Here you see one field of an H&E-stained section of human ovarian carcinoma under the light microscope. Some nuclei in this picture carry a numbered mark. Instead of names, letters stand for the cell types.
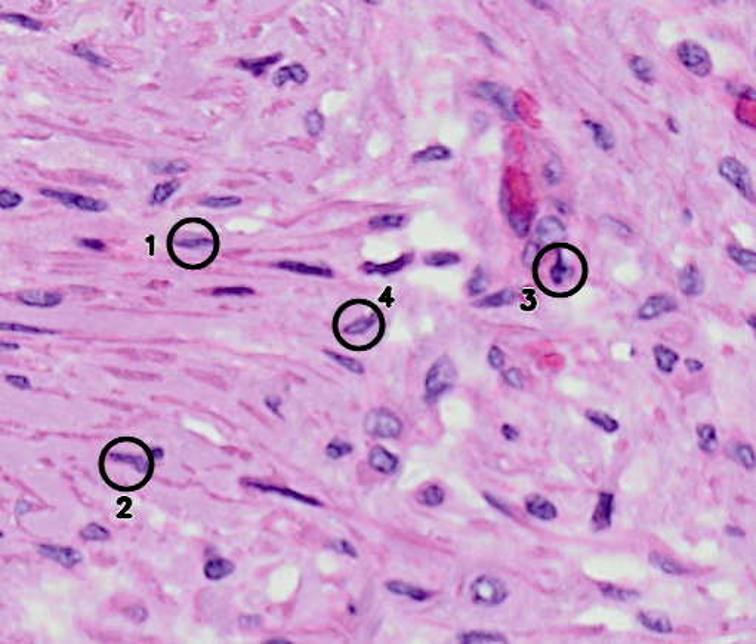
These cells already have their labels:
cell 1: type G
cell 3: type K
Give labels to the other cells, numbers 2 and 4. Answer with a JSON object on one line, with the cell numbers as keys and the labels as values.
{"2": "type G", "4": "type G"}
